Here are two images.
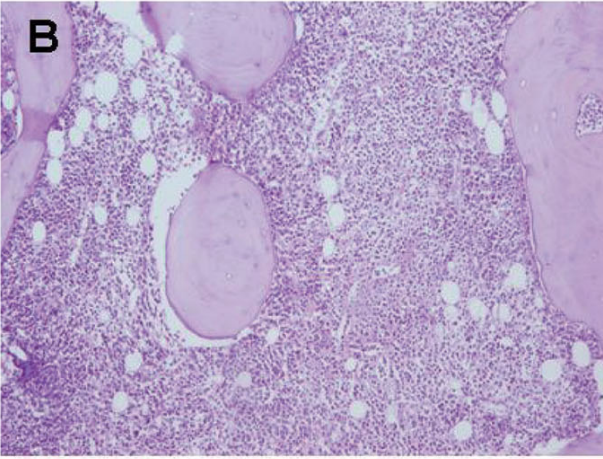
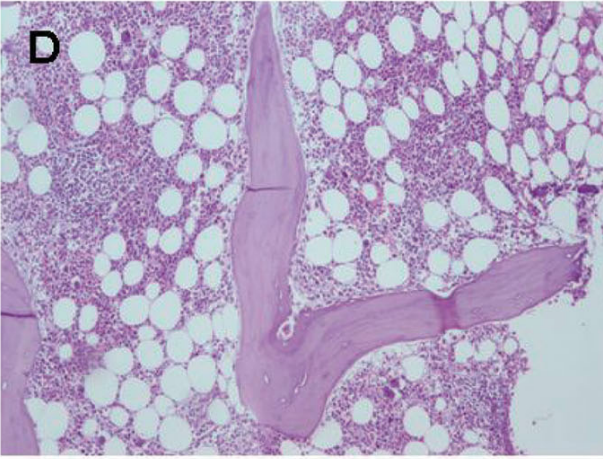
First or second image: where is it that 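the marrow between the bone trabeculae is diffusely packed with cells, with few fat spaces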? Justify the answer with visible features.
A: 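Second image: many large round fat spaces lie among the cells. First image: dense cell sheets fill the intertrabecular space, with only a few small fat spaces.
The first image.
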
